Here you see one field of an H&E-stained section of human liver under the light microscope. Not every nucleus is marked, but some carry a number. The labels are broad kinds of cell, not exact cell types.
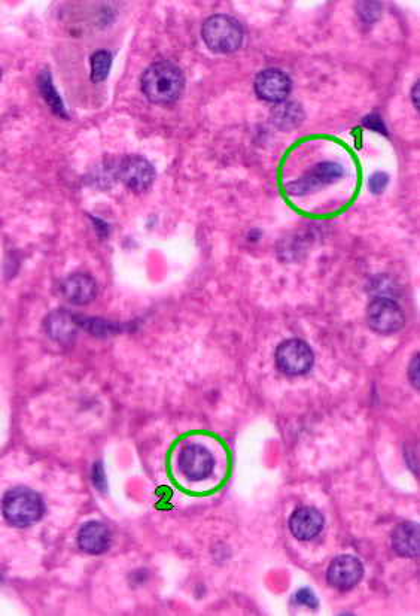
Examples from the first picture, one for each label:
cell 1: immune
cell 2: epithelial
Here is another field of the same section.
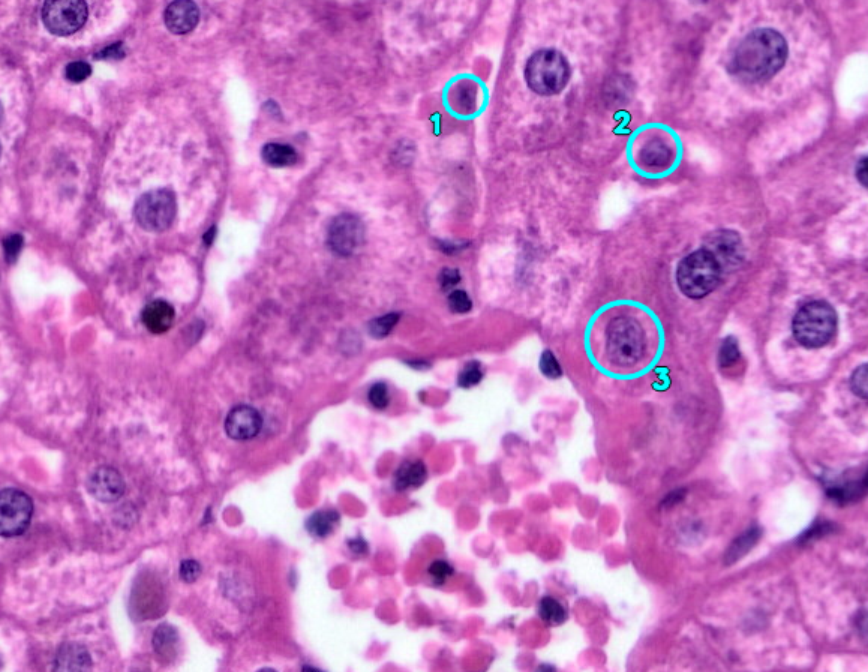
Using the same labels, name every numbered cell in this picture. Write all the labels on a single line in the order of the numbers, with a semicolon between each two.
immune; immune; epithelial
